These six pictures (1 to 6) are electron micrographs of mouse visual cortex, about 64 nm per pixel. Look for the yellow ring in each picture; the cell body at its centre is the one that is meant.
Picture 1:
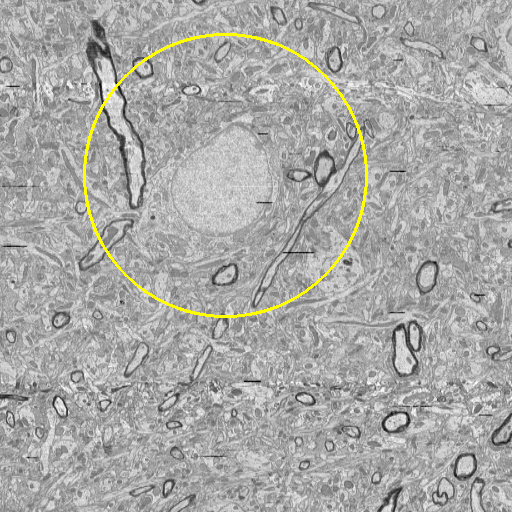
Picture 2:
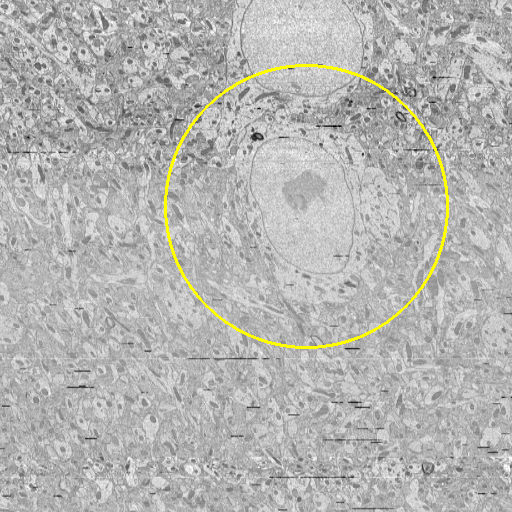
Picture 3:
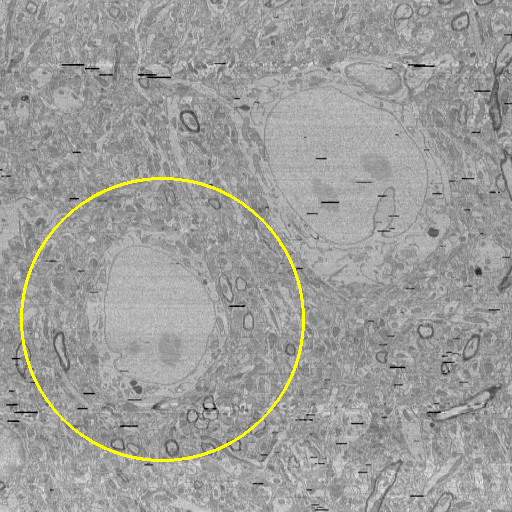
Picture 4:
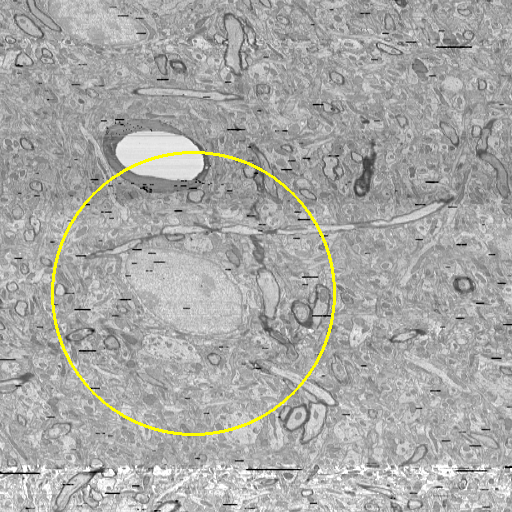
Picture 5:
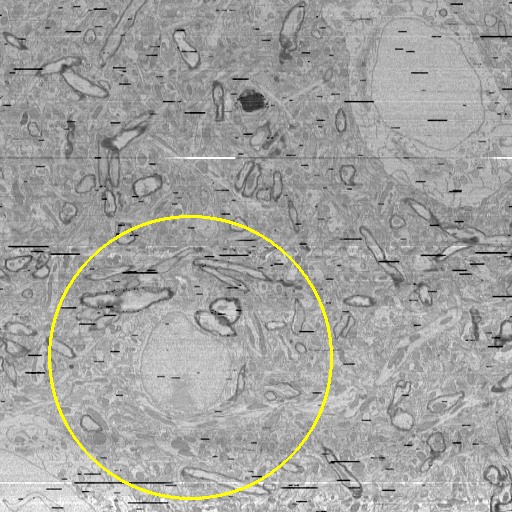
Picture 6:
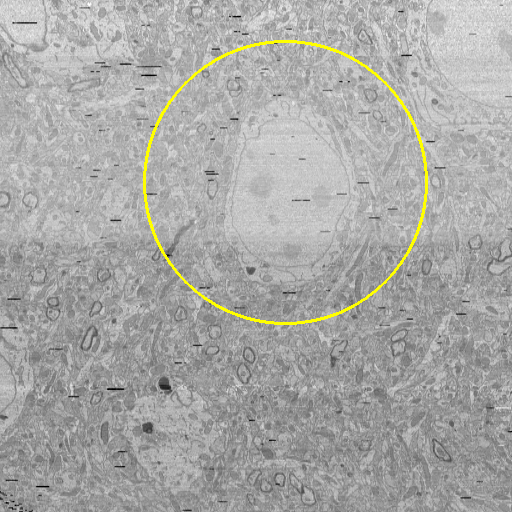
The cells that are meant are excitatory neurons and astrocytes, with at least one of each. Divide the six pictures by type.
Pictures 2, 3 and 6 show excitatory neurons, and pictures 1, 4 and 5 show astrocytes.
